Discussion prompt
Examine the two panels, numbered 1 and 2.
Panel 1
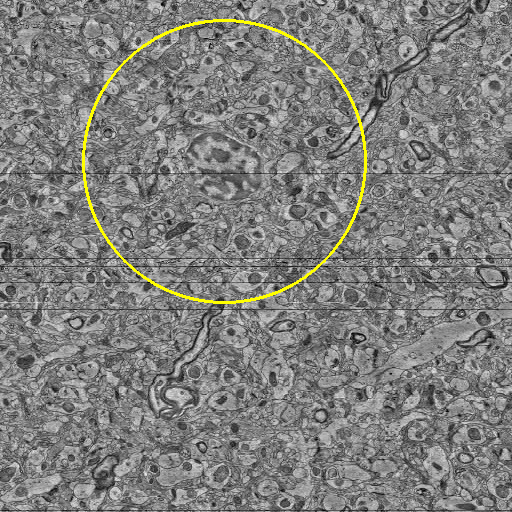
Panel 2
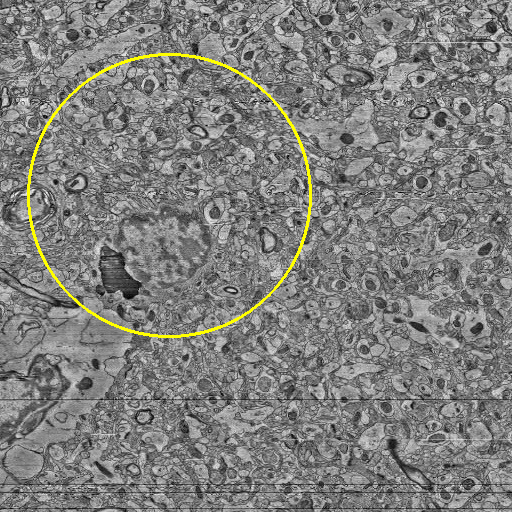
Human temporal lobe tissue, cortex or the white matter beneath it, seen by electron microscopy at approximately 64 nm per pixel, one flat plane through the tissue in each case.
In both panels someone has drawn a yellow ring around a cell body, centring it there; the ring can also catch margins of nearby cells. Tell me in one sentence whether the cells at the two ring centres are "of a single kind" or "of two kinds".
Taken together, the two cells centred in the rings of Panels 1 and 2 are of a single kind.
